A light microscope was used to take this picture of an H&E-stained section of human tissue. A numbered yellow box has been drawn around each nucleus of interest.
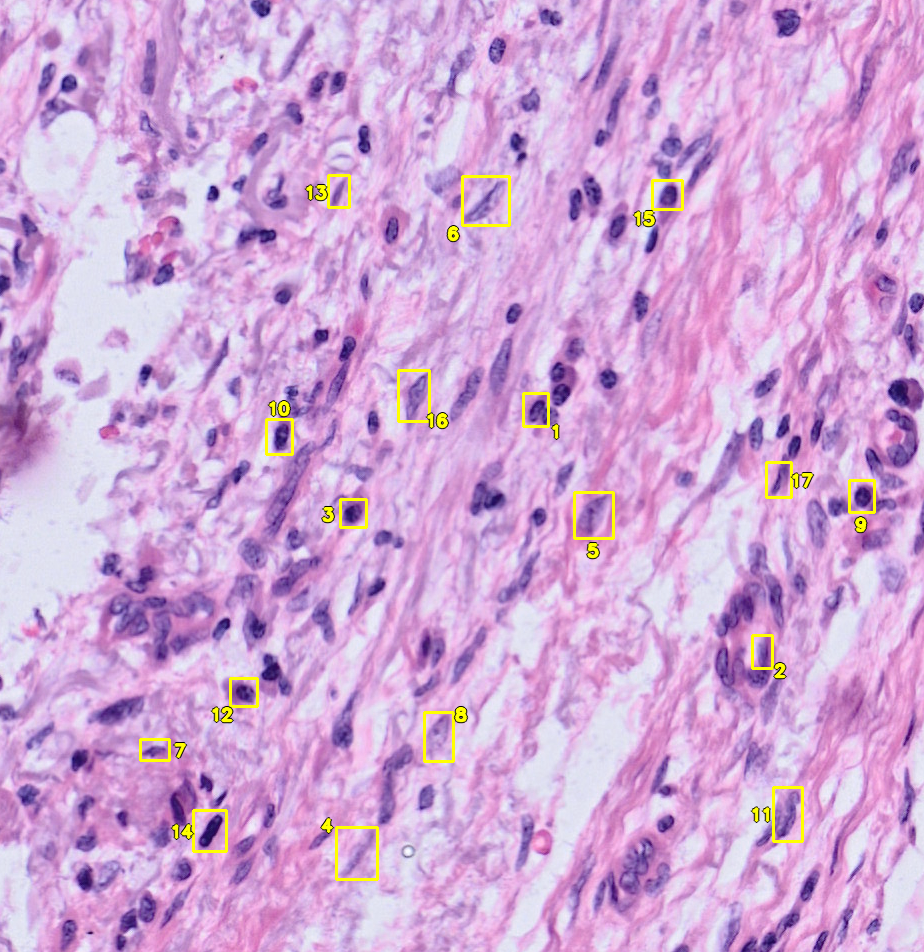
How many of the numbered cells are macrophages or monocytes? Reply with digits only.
1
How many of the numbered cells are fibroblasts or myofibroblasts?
8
